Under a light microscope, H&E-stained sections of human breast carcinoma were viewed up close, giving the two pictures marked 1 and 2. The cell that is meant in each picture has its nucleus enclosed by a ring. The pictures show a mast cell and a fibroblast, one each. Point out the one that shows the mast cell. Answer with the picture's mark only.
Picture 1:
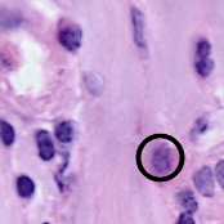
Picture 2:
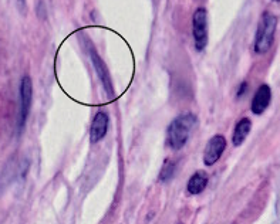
1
